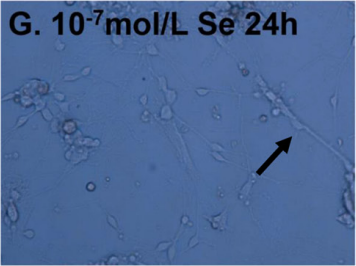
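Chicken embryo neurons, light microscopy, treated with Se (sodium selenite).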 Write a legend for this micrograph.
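Spindle-shaped and rounded cell bodies lie singly and in small groups. Long thin processes extend from them and branch, linking cells across the field. A few small round bodies lie loose among the cells. The network of processes is well preserved.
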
